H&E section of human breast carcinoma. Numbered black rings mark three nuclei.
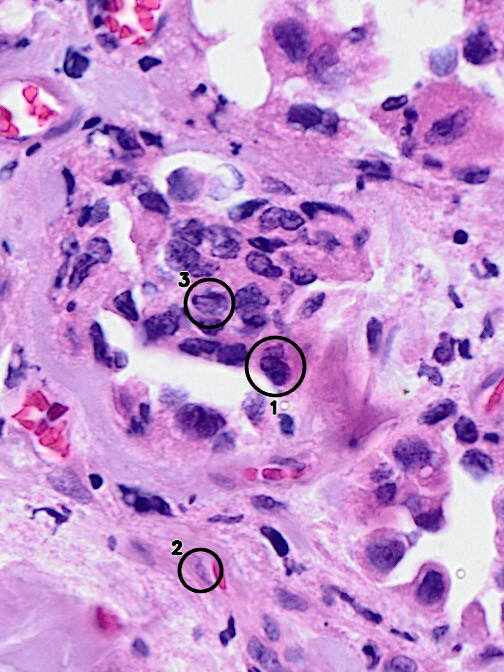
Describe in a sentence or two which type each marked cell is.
Cells 1 and 3 are carcinoma cells. Cell 2 is an endothelial cell.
